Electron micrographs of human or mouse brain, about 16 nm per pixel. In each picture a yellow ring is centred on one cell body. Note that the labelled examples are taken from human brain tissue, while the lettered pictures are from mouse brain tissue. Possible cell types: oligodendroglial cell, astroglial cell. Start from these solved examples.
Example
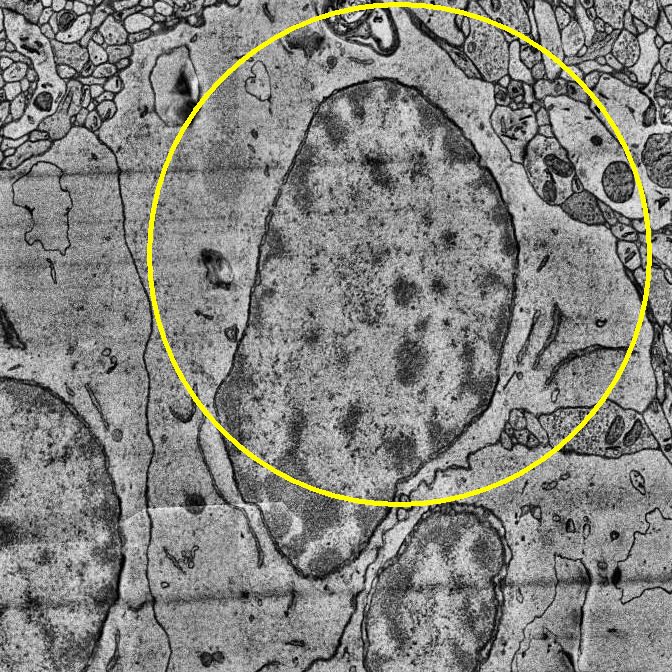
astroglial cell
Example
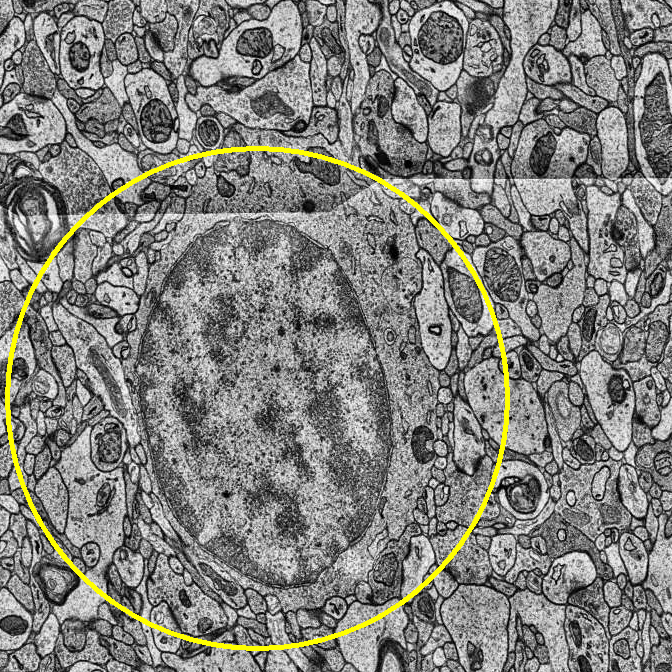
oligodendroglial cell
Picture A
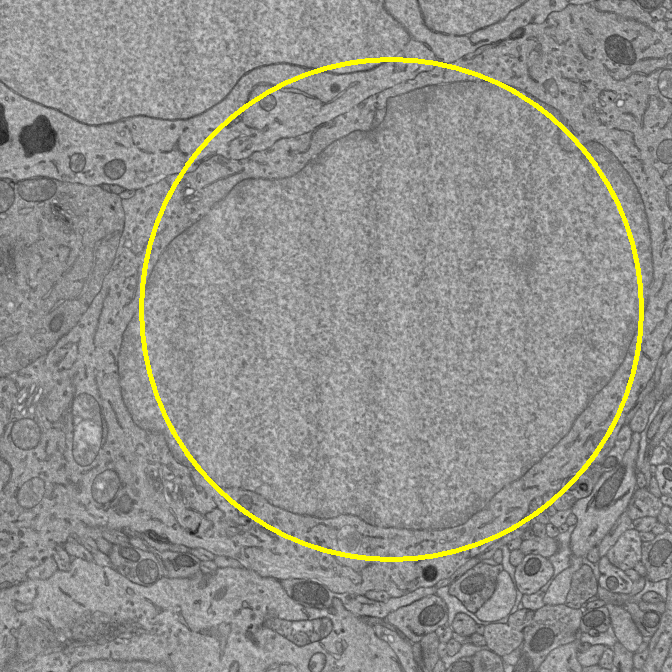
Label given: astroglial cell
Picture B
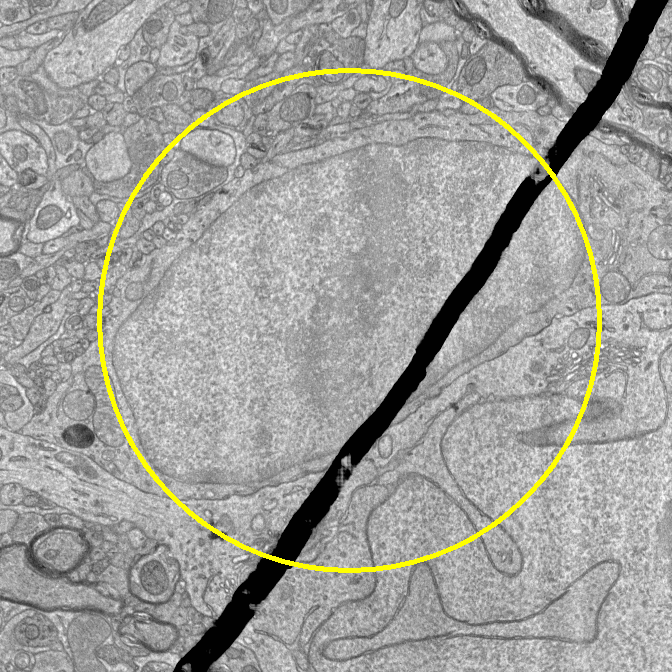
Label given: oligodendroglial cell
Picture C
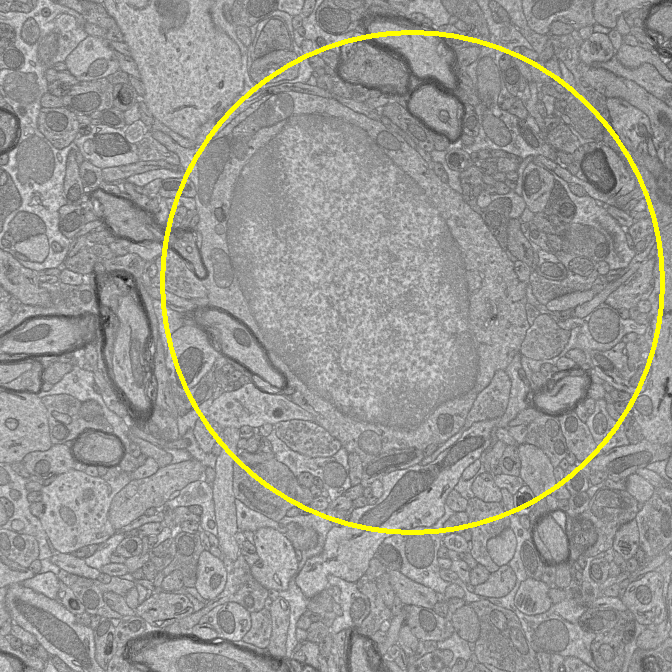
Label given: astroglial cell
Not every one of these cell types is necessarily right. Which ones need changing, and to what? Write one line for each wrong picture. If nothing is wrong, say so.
A is labelled astroglial cell; correct label: oligodendroglial cell
C is labelled astroglial cell; correct label: oligodendroglial cell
